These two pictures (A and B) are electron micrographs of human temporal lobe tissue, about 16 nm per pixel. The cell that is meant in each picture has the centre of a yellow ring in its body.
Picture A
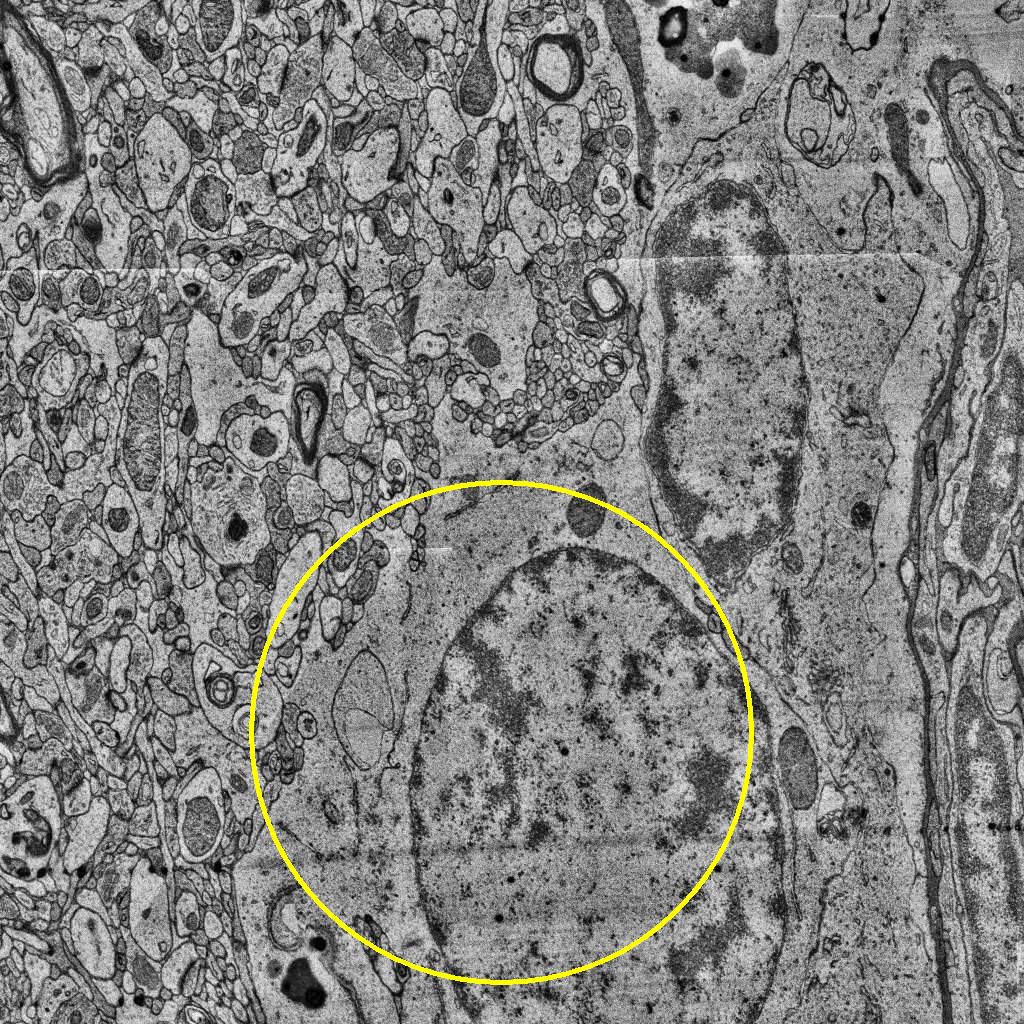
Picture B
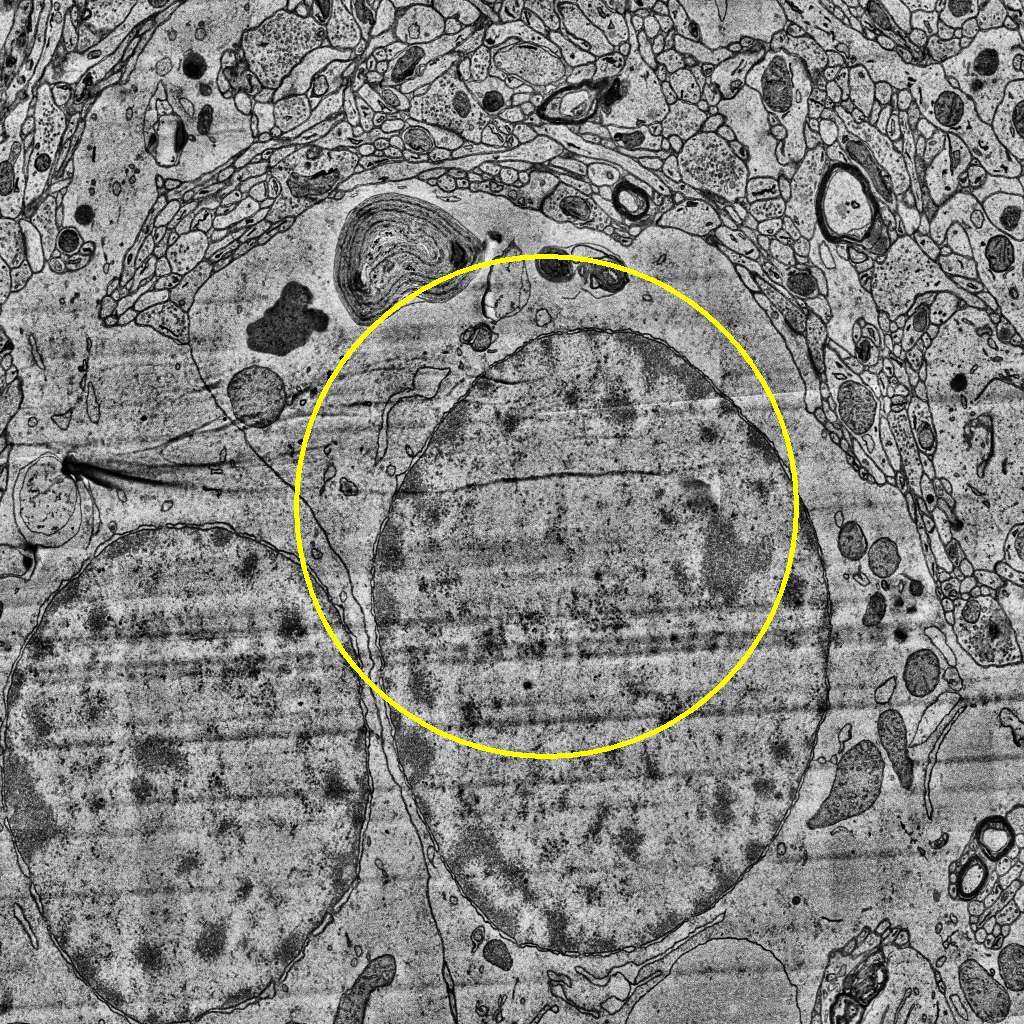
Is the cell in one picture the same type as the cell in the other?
Yes; the cells in both pictures are astrocytes.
